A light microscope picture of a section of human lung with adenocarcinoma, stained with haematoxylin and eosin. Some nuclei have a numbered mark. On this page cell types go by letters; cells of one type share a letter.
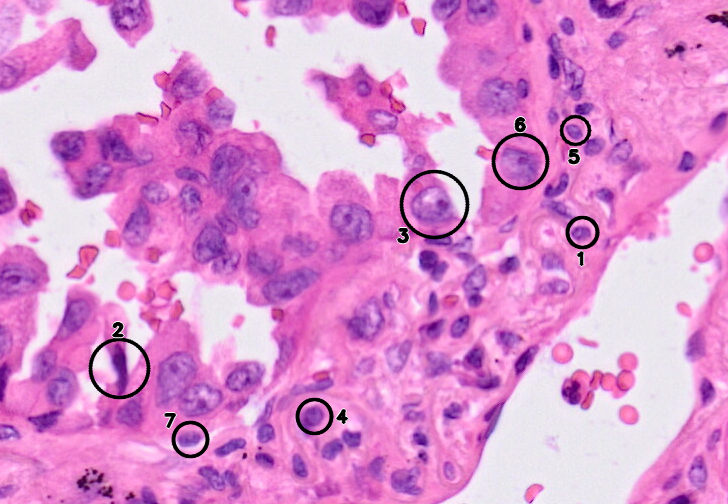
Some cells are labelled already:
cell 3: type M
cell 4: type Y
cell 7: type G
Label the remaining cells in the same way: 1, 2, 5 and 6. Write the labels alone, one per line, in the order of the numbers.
type G
type M
type G
type M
